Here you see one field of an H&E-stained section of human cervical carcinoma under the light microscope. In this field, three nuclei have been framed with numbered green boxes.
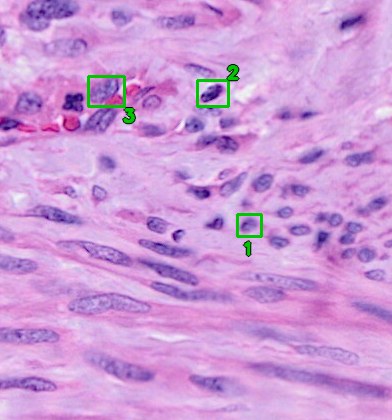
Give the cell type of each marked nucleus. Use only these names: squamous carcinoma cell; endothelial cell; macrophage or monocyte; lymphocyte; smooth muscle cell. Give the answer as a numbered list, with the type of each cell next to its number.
1. smooth muscle cell
2. lymphocyte
3. endothelial cell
